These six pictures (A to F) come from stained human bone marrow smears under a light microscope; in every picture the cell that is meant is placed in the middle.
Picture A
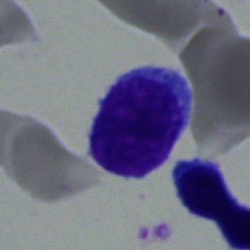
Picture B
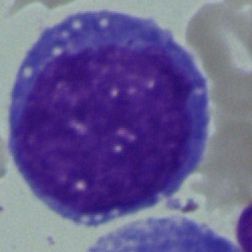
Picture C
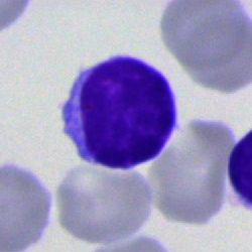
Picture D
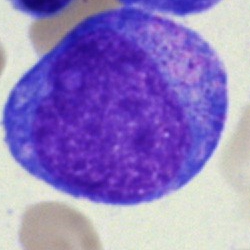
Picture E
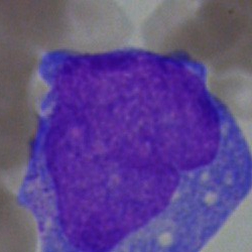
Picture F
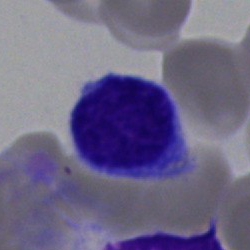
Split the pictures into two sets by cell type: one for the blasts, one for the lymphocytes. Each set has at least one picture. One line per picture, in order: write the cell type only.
lymphocyte
blast
lymphocyte
blast
blast
lymphocyte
